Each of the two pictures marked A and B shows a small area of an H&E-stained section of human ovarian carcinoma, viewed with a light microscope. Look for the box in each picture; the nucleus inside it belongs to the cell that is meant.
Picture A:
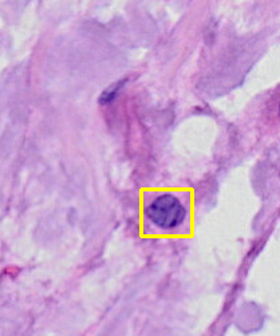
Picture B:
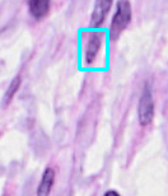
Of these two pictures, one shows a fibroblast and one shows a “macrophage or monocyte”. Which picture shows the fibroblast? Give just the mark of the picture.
B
